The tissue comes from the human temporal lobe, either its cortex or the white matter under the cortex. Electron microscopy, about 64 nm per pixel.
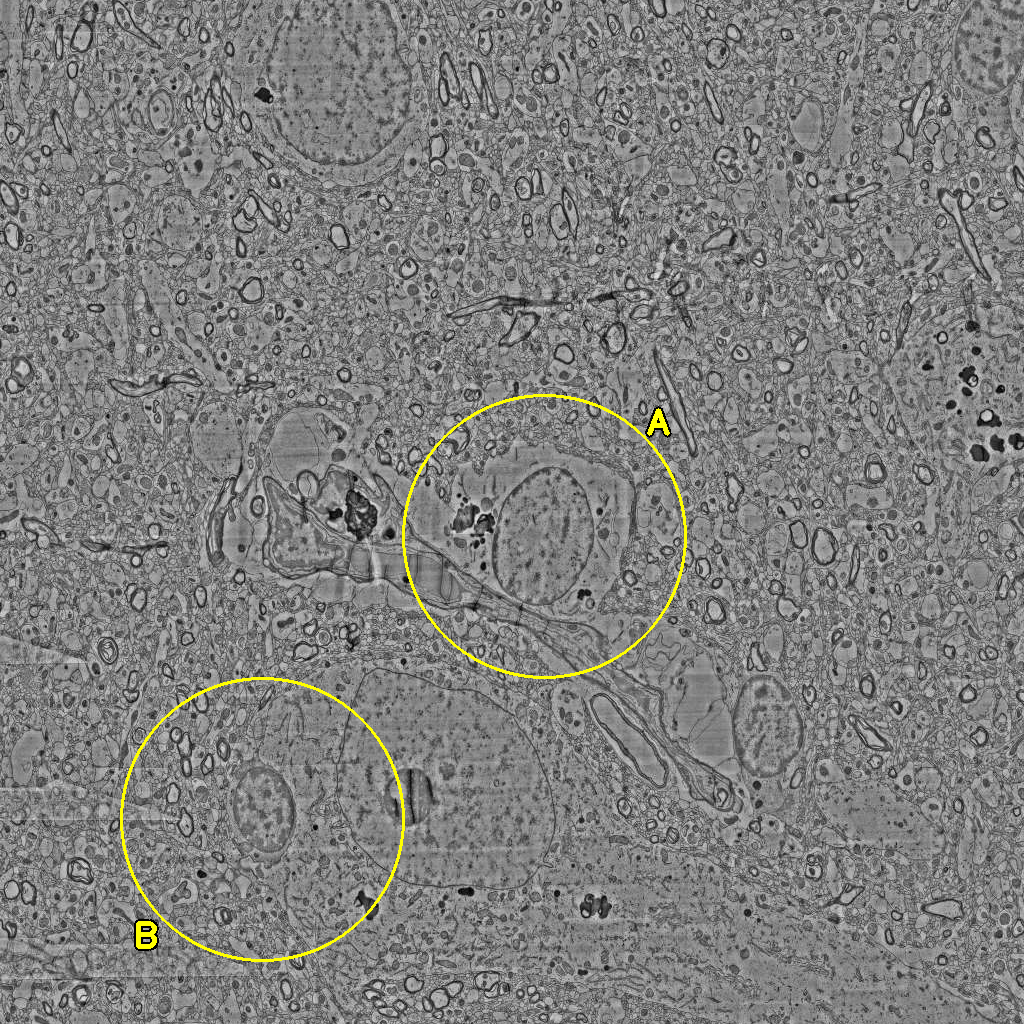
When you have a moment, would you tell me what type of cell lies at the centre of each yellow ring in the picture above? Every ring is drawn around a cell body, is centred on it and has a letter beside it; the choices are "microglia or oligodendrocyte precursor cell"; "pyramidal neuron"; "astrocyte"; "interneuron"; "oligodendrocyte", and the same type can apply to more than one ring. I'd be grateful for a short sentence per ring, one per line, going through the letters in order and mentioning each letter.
The cell at the centre of ring A is an astrocyte.
The cell at the centre of ring B is an oligodendrocyte.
